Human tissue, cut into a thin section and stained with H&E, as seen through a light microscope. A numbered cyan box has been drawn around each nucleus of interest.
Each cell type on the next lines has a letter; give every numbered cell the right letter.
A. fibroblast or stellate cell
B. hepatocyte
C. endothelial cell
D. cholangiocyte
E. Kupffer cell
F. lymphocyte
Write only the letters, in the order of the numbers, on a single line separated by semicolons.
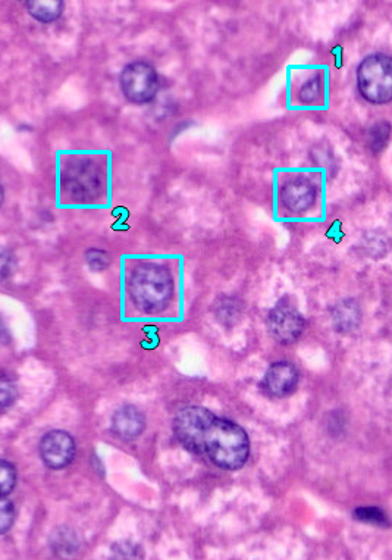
E; B; B; B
